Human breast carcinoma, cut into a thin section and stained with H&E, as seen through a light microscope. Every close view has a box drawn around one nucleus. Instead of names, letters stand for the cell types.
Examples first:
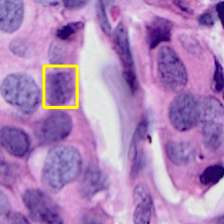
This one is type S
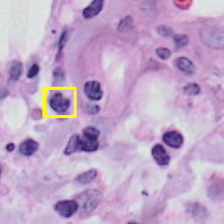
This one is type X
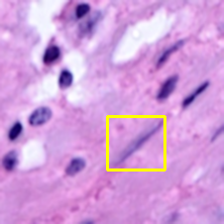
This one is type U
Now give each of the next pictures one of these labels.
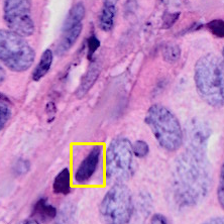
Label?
type S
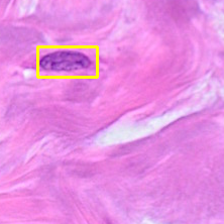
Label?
type U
